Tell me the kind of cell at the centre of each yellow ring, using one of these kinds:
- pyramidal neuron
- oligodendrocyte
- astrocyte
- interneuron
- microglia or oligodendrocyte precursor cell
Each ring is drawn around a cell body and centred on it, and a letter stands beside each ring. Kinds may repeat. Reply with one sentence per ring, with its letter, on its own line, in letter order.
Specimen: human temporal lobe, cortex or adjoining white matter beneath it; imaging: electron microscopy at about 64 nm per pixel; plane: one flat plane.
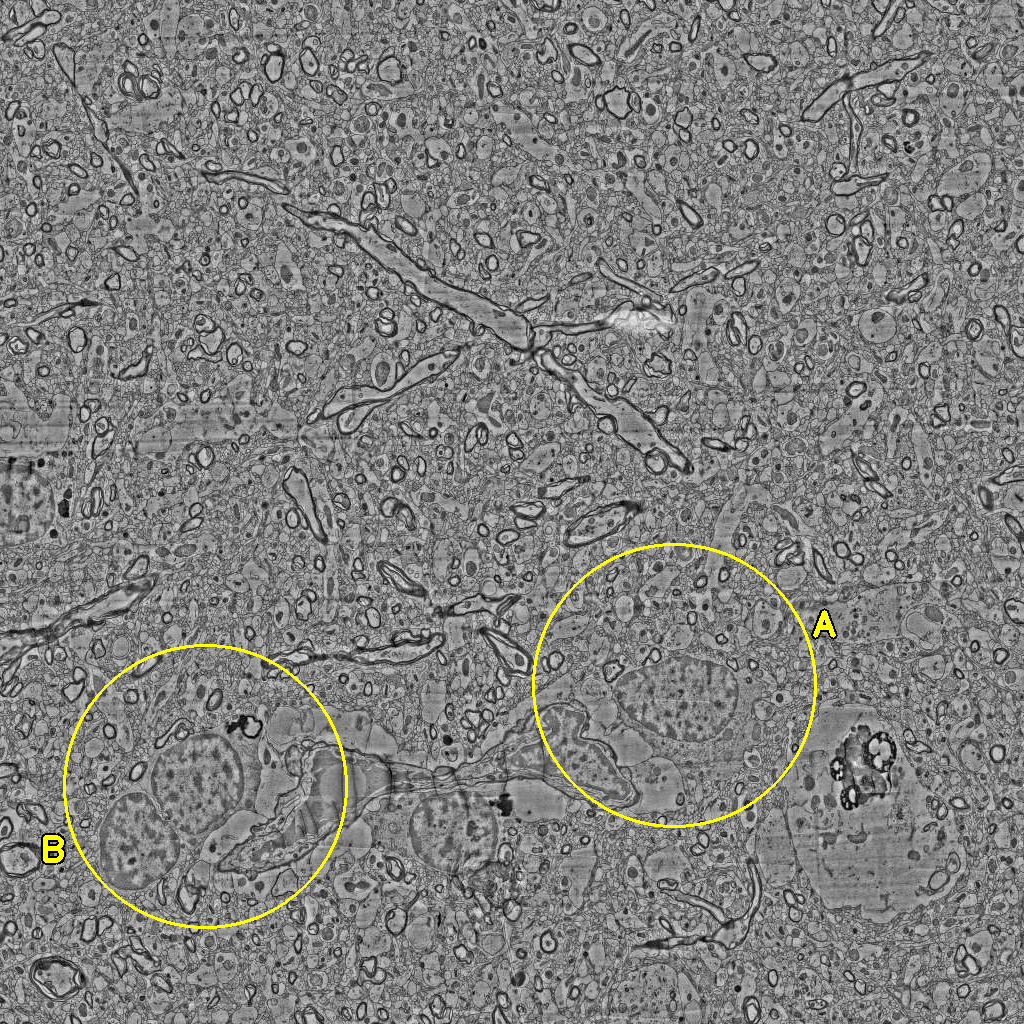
The ring labelled A is centred on an oligodendrocyte.
The ring labelled B is centred on an oligodendrocyte.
